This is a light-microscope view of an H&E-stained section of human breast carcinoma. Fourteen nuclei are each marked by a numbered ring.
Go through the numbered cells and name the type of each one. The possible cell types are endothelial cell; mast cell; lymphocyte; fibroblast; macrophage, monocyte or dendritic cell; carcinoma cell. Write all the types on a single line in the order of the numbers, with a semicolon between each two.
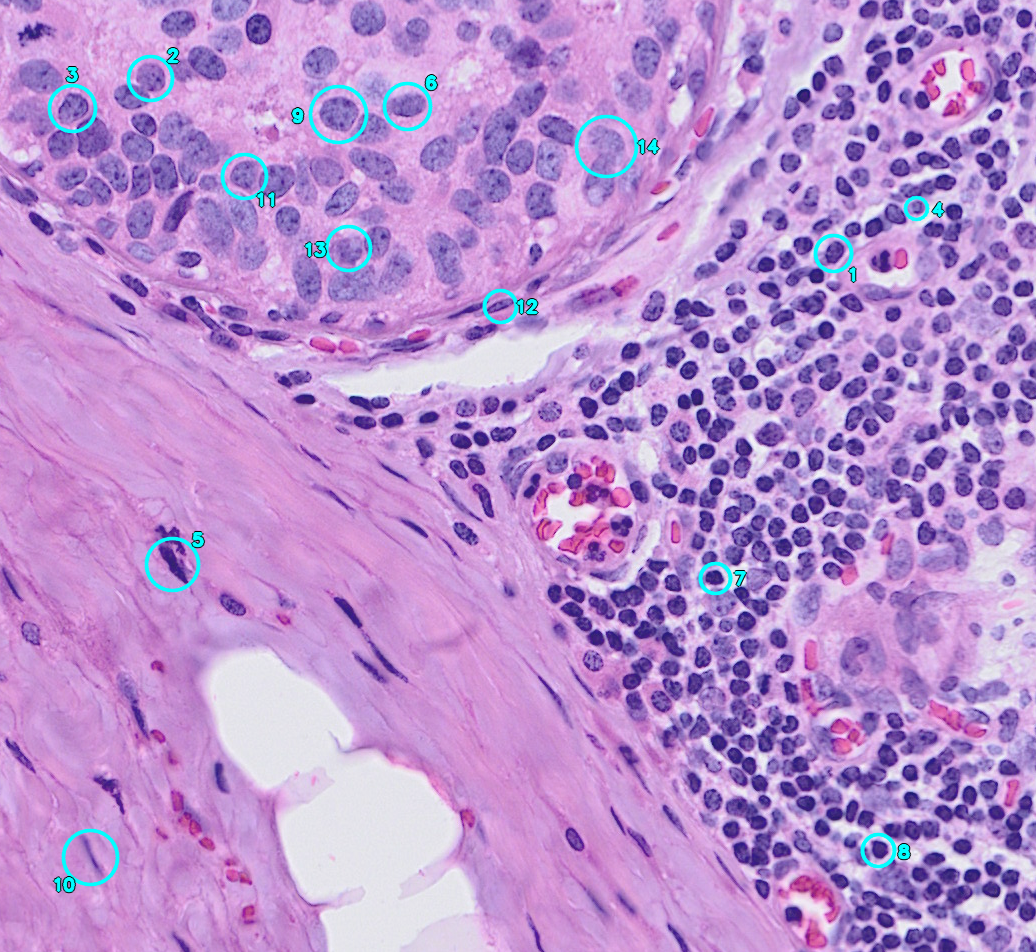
lymphocyte; carcinoma cell; carcinoma cell; lymphocyte; fibroblast; carcinoma cell; lymphocyte; lymphocyte; carcinoma cell; fibroblast; carcinoma cell; endothelial cell; carcinoma cell; carcinoma cell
